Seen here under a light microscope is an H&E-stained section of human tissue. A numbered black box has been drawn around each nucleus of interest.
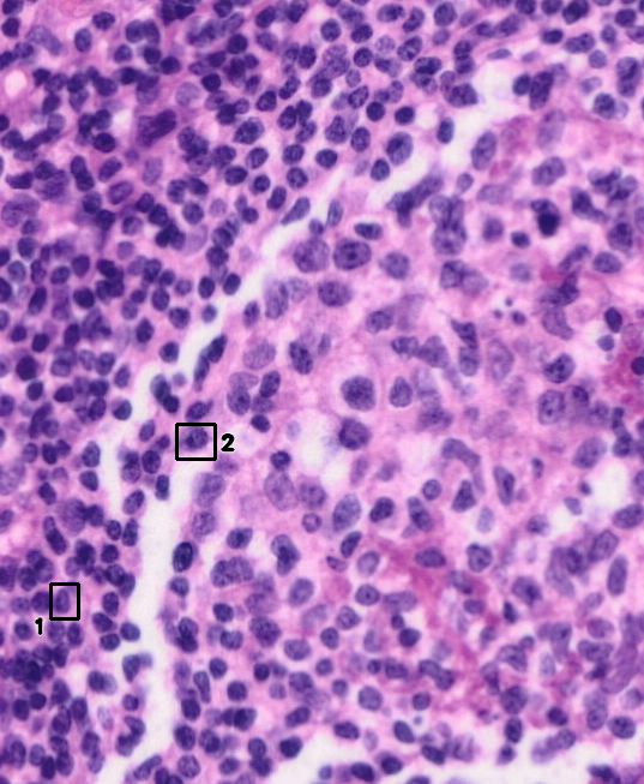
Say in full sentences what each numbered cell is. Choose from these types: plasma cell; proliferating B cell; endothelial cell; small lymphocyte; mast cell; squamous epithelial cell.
Cell 1 is a small lymphocyte. Cell 2 is a proliferating B cell.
